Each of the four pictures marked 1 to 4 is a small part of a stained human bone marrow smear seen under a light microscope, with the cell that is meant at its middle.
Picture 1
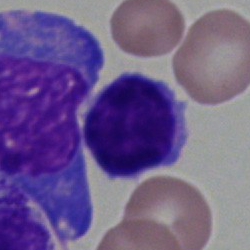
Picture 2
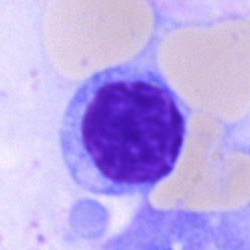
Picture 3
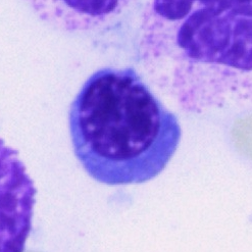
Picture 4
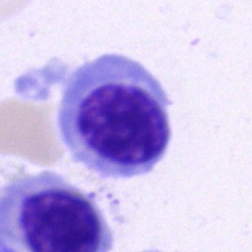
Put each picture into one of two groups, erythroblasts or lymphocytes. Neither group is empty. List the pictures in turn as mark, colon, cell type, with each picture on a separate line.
1: lymphocyte
2: lymphocyte
3: erythroblast
4: erythroblast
